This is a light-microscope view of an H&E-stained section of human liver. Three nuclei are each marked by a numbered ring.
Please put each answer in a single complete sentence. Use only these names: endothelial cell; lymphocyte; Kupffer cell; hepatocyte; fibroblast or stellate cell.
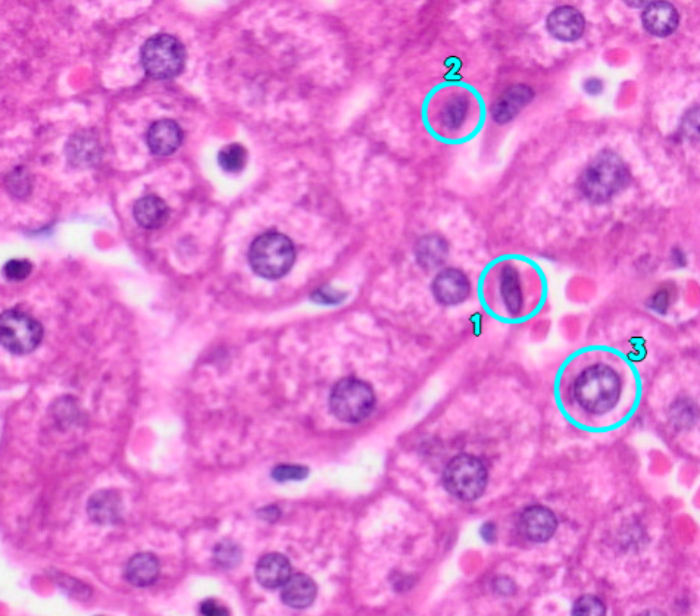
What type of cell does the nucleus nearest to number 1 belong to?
The cell nearest to number 1 is a hepatocyte.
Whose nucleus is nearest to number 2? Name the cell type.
It is a Kupffer cell whose nucleus is nearest to number 2.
